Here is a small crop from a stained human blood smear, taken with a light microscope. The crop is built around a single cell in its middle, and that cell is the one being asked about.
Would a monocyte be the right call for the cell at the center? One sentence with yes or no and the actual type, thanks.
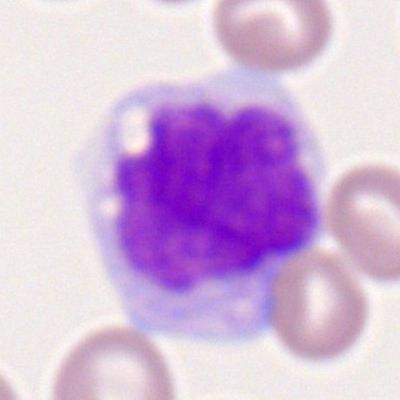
Yes, in the centre of this field sits a monocyte.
